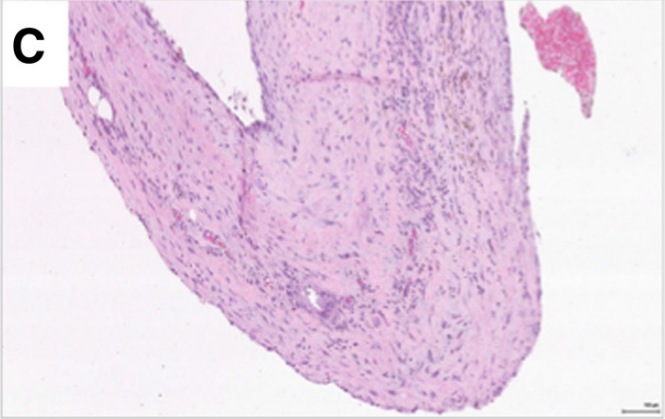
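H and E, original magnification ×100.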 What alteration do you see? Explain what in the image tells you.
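Mild chronic inflammation. Small dark round nuclei are scattered among the spindle cells of the wall. The small round nuclei are denser in a band on the right side of the wall.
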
